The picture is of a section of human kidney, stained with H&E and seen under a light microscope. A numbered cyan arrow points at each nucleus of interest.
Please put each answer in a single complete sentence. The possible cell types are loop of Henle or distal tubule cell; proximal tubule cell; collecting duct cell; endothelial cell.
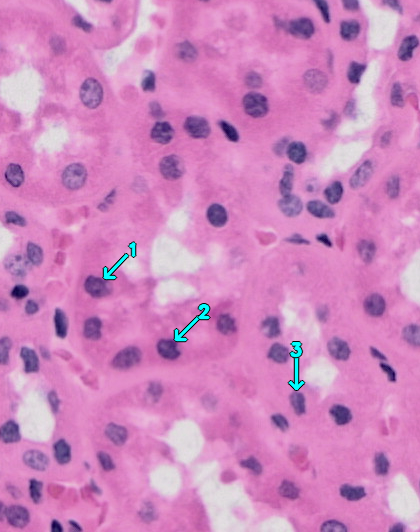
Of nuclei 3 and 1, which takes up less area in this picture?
The smaller nucleus is 3, and 1 covers roughly 1.5 times its area.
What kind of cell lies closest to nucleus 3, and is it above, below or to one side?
It is an endothelial cell, whose nucleus lies below and to the left of nucleus 3.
